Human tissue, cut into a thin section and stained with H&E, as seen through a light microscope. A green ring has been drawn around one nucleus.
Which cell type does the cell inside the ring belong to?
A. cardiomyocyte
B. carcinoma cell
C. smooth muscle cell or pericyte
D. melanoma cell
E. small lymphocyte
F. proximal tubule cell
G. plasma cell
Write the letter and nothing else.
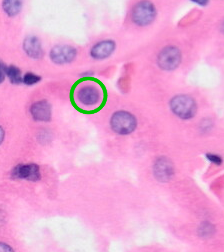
F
